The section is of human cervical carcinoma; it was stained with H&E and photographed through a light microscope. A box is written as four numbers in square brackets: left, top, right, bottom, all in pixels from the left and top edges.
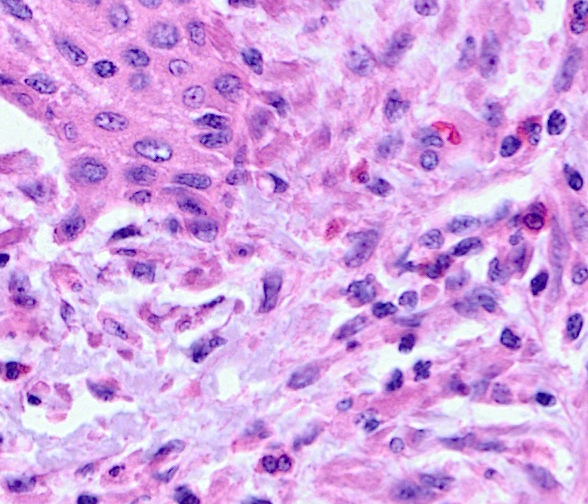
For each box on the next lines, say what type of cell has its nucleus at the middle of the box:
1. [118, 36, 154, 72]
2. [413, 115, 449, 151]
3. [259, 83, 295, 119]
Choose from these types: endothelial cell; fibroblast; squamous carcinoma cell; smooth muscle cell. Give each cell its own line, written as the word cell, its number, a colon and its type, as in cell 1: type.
cell 1: squamous carcinoma cell
cell 2: endothelial cell
cell 3: fibroblast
